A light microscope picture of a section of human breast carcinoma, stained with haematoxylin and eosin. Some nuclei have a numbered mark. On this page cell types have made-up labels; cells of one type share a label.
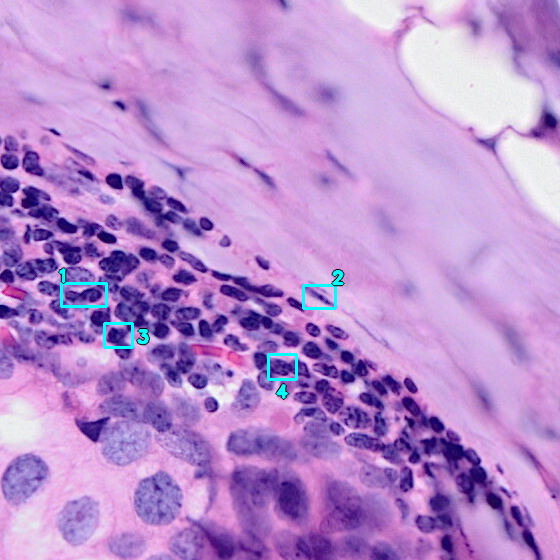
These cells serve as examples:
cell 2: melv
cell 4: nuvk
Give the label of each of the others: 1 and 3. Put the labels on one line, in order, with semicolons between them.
nuvk; nuvk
